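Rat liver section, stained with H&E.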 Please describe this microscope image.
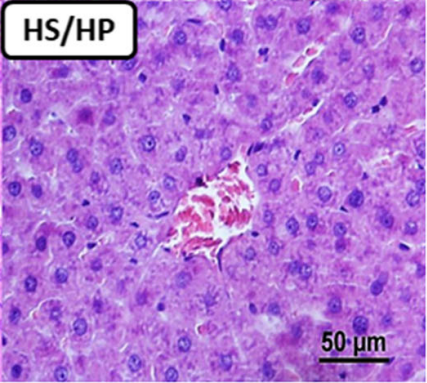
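Polygonal hepatocytes with pink cytoplasm and round purple central nuclei are packed in plates around a vessel filled with red blood cells. Thin pale sinusoids run between the plates, and a few small elongated dark nuclei lie along them. The parenchyma looks orderly, without obvious clear cytoplasmic vacuoles.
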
